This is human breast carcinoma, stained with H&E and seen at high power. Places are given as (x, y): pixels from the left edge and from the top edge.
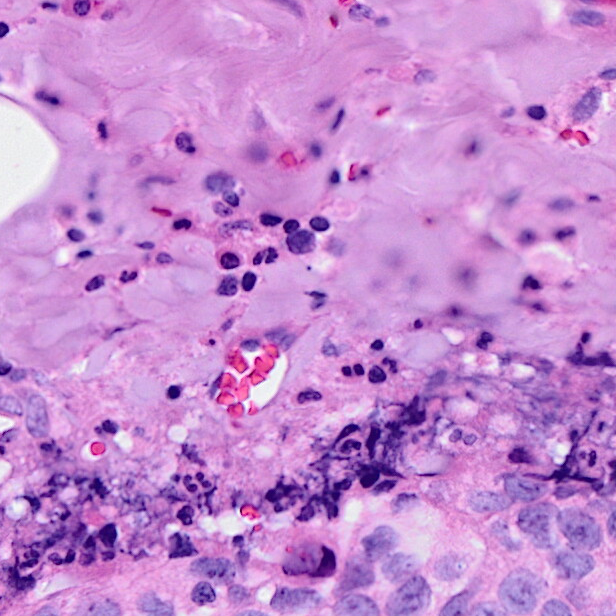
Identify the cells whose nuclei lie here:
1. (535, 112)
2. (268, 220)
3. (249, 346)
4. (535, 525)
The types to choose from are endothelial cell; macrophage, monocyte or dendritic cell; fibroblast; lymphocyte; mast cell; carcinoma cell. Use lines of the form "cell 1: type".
cell 1: lymphocyte
cell 2: lymphocyte
cell 3: endothelial cell
cell 4: carcinoma cell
